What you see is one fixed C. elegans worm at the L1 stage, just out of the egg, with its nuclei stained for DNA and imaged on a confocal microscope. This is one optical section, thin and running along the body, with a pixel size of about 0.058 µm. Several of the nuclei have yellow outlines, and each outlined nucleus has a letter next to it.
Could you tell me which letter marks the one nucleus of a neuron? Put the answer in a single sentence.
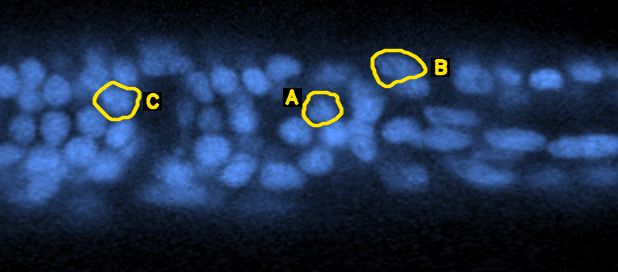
C is from a neuron.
